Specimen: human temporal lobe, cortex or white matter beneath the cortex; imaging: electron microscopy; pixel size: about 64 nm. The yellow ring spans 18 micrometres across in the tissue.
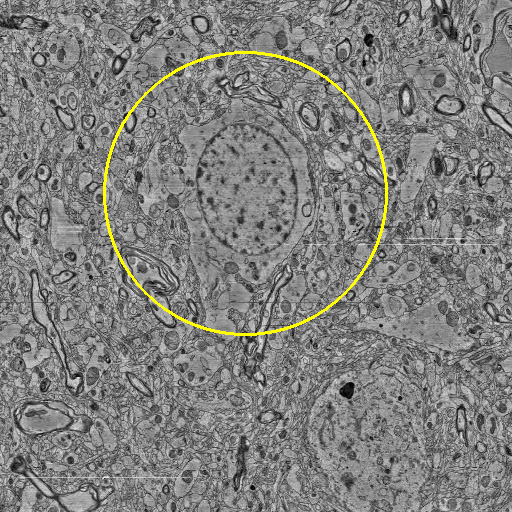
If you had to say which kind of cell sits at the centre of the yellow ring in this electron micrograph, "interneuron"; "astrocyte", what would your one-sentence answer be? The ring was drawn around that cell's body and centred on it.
The cell sitting at the centre of the ring is an astrocyte.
